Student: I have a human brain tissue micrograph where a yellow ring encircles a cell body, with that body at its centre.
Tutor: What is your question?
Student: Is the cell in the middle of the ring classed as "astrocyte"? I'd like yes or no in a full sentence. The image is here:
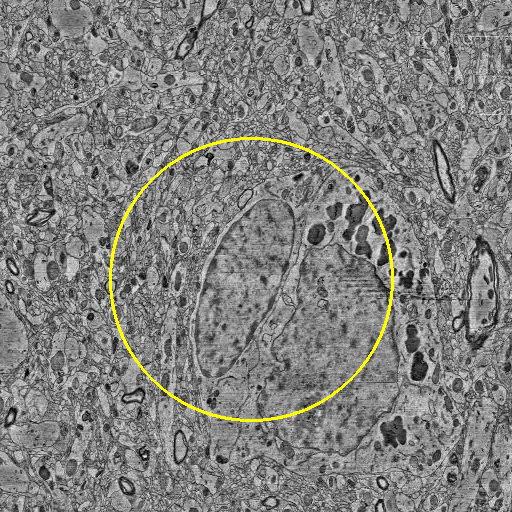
No, the ringed cell in the middle counts as another kind.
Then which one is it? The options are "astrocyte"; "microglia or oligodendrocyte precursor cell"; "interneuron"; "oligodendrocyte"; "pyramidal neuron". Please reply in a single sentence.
What the ring encloses here is a microglial cell or oligodendrocyte precursor cell.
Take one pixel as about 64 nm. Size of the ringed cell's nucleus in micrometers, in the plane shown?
At approximately 12 by 5 micrometres, the nucleus is clearly longer than it is wide in this plane.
